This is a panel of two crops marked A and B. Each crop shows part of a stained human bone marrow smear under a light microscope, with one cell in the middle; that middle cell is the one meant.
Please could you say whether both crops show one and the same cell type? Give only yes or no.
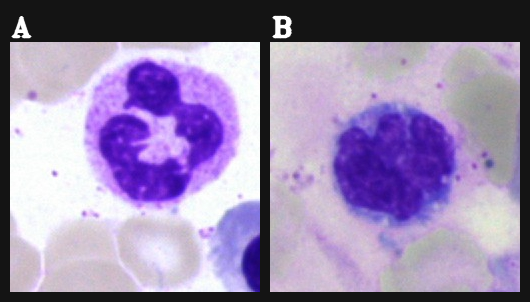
no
